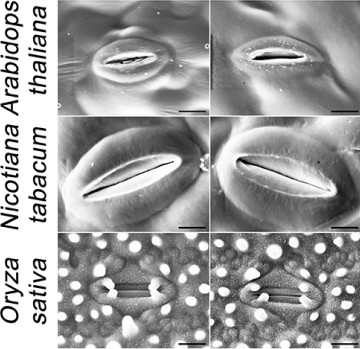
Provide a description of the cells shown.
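These are scanning electron views of the leaf surface of three plants, each image centred on a stoma. The stomata in the middle row are larger and more oval, with a long, straight slit between the guard cells. In the bottom row the stoma is small and set among many bright, rounded bumps that dot the surface. The opening in each stoma appears as a dark line or narrow gap between the paired cells.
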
